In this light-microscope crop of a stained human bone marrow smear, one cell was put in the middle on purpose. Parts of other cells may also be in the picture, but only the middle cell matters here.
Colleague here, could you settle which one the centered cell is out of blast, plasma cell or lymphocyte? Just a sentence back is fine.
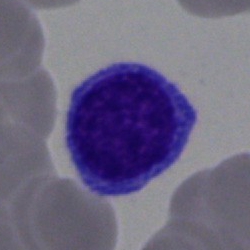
For this crop, the cell in the middle is a lymphocyte.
